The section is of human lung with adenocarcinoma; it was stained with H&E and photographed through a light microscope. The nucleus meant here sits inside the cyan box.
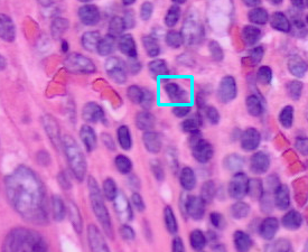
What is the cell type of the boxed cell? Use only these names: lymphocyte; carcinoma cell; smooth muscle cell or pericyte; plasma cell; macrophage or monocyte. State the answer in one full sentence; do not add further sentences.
What the boxed cell represents is a lymphocyte.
